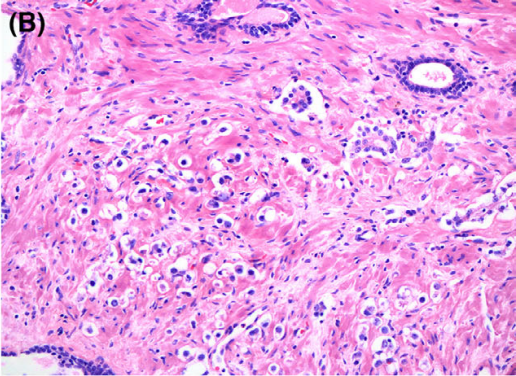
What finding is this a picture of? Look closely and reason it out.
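Individual tumor cells scattered singly through pink fibromuscular stroma. A few benign glands at the edges. On this evidence: single‐cell growth pattern.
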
